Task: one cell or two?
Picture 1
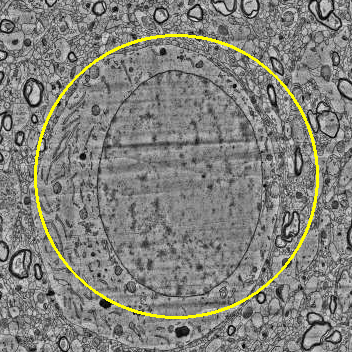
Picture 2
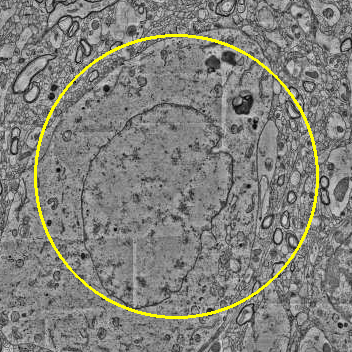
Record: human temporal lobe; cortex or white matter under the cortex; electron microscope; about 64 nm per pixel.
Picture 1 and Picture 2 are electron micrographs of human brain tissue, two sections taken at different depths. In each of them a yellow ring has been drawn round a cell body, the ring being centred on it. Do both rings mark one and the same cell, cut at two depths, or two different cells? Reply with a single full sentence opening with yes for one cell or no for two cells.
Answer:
No, a single cell is not marked twice here; two cells are marked.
